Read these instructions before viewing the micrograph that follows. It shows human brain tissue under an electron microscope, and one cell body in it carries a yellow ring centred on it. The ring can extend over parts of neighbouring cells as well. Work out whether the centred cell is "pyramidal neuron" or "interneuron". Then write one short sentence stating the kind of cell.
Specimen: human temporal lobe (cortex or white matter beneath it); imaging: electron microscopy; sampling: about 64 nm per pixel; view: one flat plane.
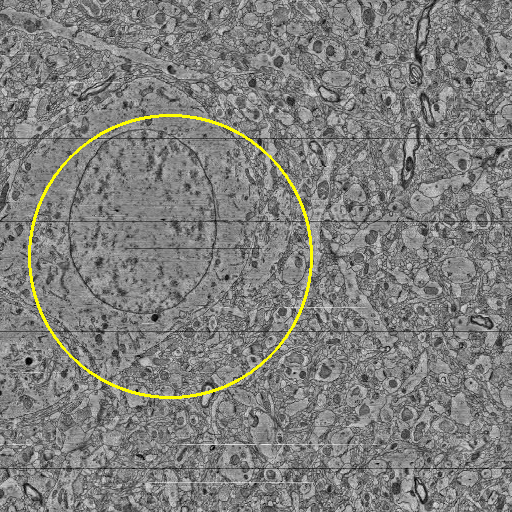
The ringed cell is a pyramidal neuron.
